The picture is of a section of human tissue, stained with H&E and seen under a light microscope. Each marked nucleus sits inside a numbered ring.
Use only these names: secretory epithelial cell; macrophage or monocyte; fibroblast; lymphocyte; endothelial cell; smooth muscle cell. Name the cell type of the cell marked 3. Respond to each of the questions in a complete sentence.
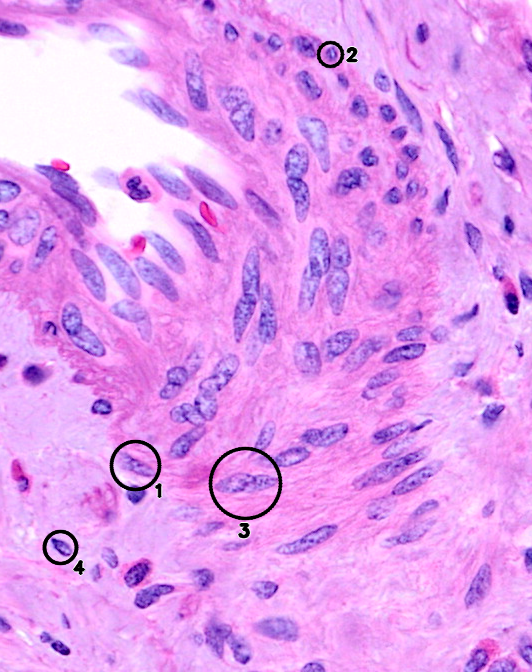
Cell 3 in the field is a smooth muscle cell.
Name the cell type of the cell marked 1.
Numbered cell 1 is a smooth muscle cell in this tissue section.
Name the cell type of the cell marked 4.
At number 4, the marked cell is a fibroblast.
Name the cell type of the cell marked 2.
The cell indicated by marker 2 is a smooth muscle cell in this section.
